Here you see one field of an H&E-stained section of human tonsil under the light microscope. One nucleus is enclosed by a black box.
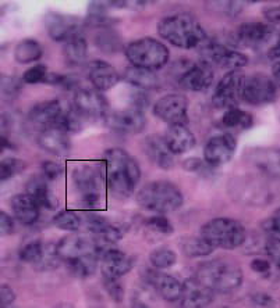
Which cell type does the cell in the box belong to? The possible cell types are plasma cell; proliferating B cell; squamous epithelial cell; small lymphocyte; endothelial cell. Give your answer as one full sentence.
In cell-type terms, the cell in the box is a proliferating B cell.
